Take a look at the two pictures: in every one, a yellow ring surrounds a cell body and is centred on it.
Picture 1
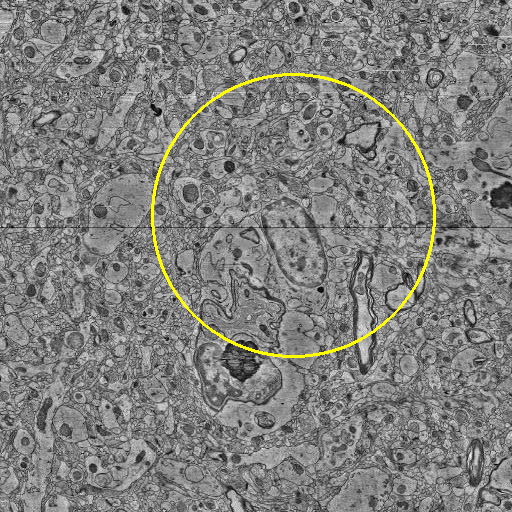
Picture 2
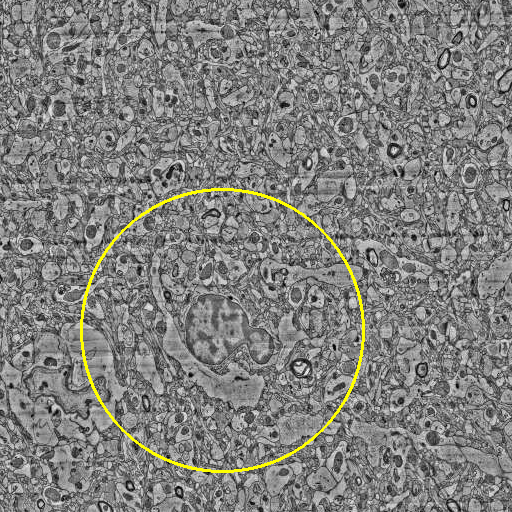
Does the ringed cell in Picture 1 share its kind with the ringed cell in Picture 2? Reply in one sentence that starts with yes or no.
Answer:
Yes, the two centred cells, one per picture, are of one kind.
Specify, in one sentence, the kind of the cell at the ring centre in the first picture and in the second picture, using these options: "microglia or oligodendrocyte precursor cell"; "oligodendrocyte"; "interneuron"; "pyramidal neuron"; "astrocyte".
Each cell, in the first picture and the second, is a microglial cell or oligodendrocyte precursor cell.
